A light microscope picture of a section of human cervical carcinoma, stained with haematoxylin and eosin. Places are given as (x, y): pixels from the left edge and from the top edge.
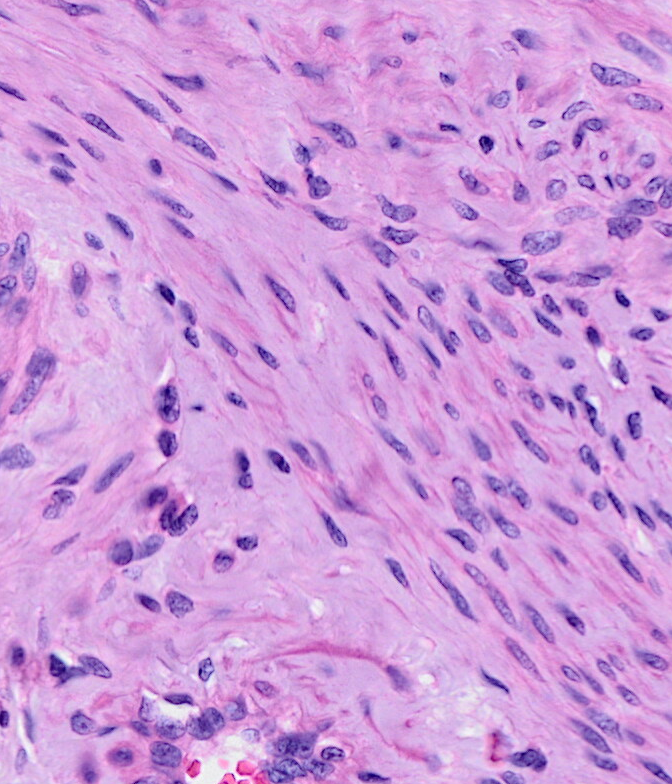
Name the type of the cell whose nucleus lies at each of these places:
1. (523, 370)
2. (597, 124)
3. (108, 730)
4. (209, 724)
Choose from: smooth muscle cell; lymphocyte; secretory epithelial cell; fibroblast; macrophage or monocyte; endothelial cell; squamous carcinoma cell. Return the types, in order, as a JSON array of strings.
["smooth muscle cell", "smooth muscle cell", "smooth muscle cell", "endothelial cell"]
